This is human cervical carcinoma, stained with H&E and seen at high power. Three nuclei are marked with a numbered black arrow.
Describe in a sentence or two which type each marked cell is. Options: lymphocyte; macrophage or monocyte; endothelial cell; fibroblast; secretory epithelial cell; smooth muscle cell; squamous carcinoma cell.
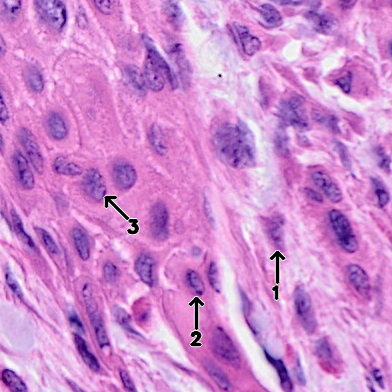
Cell 1 is a fibroblast, cell 2 is a squamous carcinoma cell and cell 3 is a squamous carcinoma cell.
